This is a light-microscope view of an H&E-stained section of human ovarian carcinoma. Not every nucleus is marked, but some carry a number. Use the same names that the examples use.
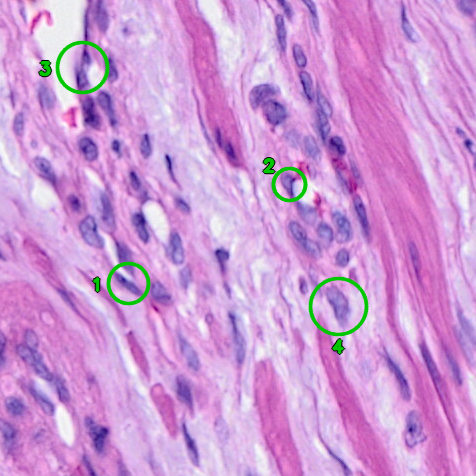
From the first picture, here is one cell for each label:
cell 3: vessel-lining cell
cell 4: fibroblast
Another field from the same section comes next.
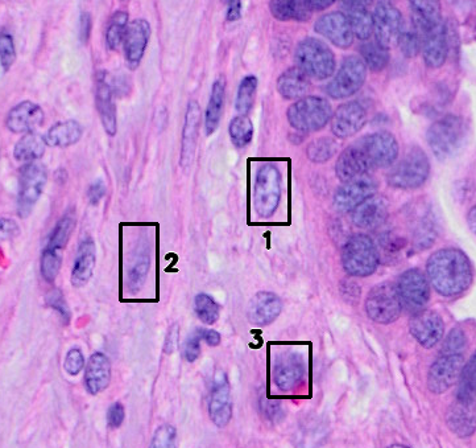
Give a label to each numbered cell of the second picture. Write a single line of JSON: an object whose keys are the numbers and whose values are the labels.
{"1": "fibroblast", "2": "fibroblast", "3": "vessel-lining cell"}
